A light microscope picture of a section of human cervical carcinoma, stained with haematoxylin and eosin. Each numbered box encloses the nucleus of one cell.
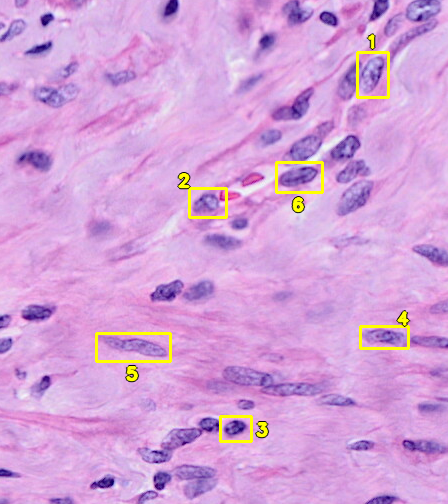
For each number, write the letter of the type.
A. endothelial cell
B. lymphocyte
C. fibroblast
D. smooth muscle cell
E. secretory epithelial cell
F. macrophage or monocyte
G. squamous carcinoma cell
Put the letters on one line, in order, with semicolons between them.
A; A; B; D; D; A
